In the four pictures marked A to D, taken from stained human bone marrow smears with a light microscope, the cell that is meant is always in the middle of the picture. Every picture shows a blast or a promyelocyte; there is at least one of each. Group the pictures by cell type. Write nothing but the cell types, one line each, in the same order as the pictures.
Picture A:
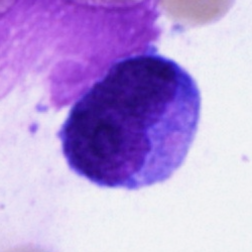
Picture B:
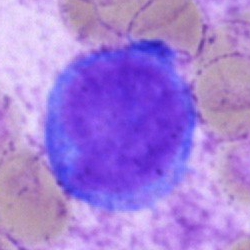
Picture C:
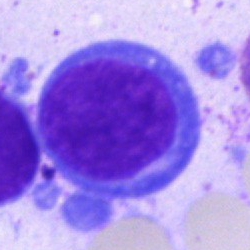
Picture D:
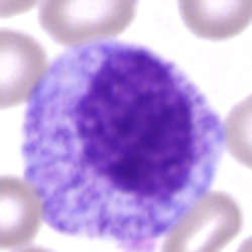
blast
blast
blast
promyelocyte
